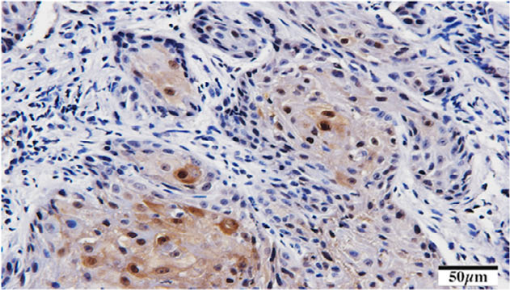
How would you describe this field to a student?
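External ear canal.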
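Squamous cell carcinoma with nests of large polygonal epithelial cells surrounded by densely cellular stroma. Light brown cytoplasmic stain fills the central cells of the nests, with a few cells stained darker. The stroma around the nests is crowded with small dark elongated nuclei and lacks brown stain.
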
